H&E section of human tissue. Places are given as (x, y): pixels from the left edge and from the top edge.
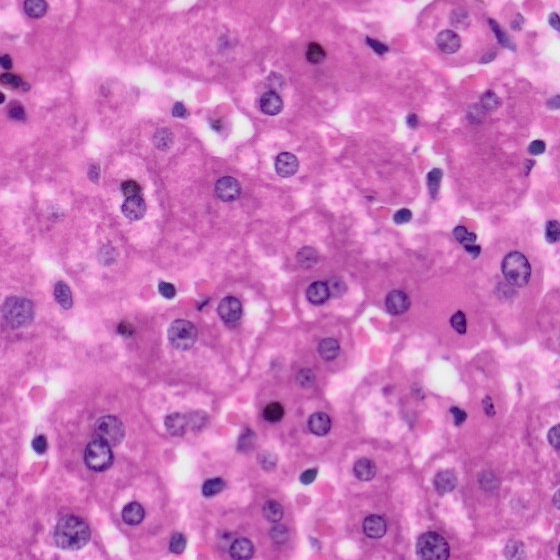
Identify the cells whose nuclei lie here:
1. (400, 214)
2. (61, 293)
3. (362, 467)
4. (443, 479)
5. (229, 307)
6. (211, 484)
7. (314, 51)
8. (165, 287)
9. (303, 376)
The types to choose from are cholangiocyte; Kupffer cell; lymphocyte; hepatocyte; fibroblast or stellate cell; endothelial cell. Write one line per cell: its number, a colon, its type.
1: lymphocyte
2: Kupffer cell
3: hepatocyte
4: hepatocyte
5: hepatocyte
6: fibroblast or stellate cell
7: hepatocyte
8: lymphocyte
9: hepatocyte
